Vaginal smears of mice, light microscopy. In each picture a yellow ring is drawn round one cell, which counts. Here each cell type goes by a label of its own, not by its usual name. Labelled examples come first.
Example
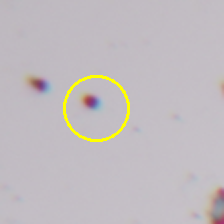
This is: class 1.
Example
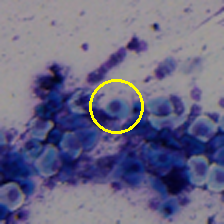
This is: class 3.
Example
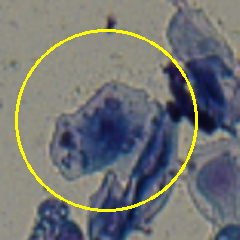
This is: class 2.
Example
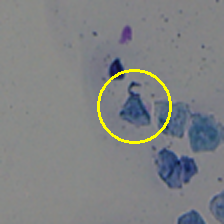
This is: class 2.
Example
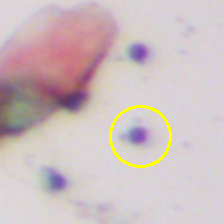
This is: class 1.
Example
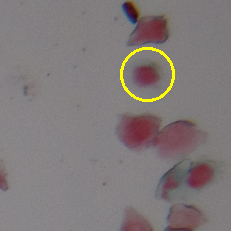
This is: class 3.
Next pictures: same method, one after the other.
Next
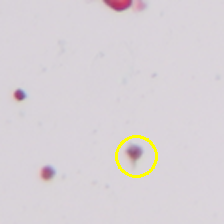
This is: class 1.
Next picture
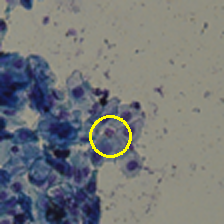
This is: class 3.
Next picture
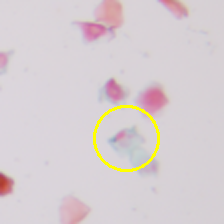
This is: class 3.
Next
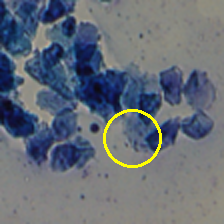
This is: class 2.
